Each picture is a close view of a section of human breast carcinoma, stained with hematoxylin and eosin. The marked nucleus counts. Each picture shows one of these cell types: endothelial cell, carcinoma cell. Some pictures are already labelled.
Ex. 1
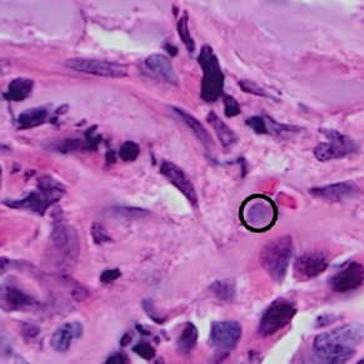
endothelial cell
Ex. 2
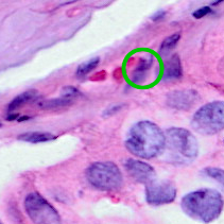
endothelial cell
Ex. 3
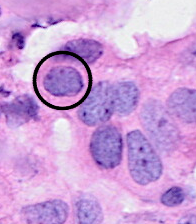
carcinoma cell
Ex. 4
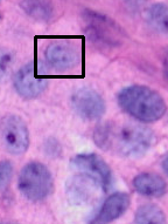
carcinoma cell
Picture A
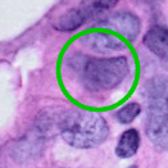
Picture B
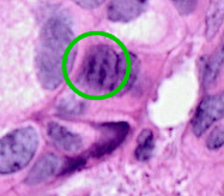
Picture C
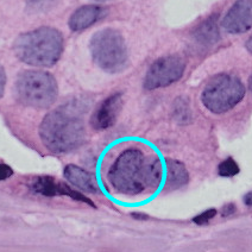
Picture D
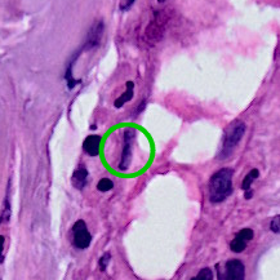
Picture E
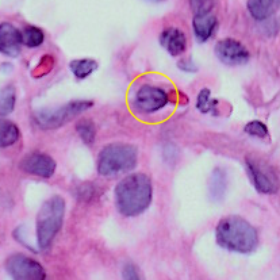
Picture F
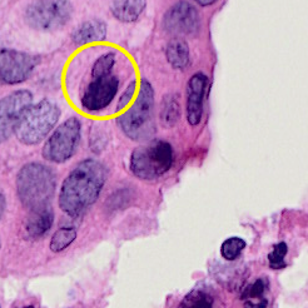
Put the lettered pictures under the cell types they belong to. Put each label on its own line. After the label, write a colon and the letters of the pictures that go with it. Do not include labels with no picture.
endothelial cell: D, E
carcinoma cell: A, B, C, F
